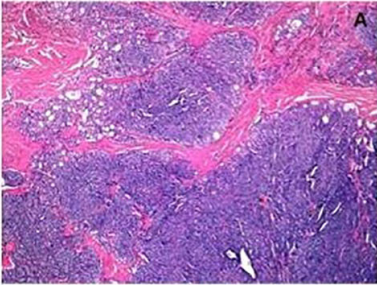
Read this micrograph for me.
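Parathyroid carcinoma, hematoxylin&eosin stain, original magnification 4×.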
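This low-power view of a tumor shows large solid nodules of densely packed cells separated by bands of fibrous tissue. Broad pink fibrous septa run between and around the nodules, dividing the tumor into lobules. A few small vessels and clear spaces are seen within the cellular areas.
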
